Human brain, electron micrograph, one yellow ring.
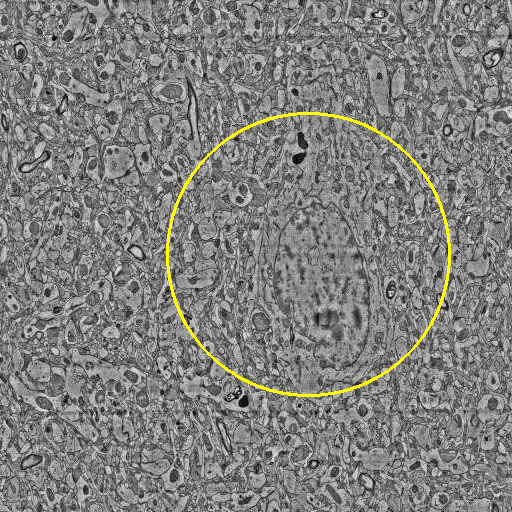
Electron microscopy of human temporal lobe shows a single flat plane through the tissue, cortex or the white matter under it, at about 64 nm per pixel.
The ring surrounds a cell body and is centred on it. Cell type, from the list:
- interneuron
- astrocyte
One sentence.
The yellow ring circles an interneuron.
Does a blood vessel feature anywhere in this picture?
No.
